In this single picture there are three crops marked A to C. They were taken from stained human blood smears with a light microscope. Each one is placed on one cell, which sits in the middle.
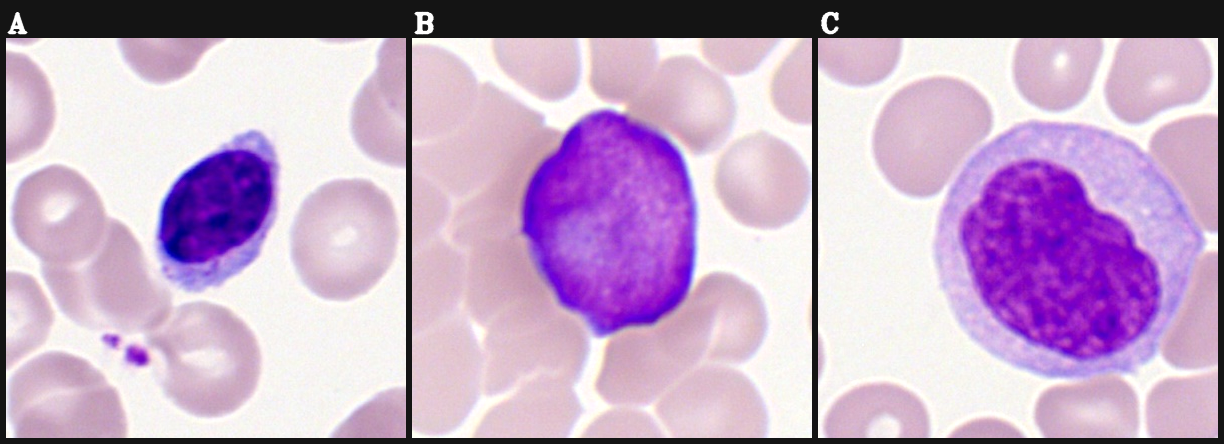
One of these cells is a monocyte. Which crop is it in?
C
